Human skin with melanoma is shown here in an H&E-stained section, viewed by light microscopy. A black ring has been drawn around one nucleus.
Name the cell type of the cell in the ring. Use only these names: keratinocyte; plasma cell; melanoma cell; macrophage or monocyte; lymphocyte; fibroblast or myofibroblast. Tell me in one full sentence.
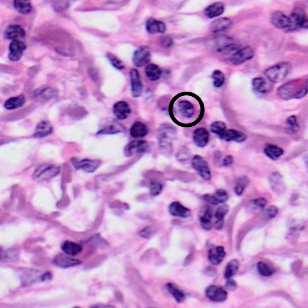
For the purposes of cell typing, the cell in the ring is categorized as a plasma cell.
